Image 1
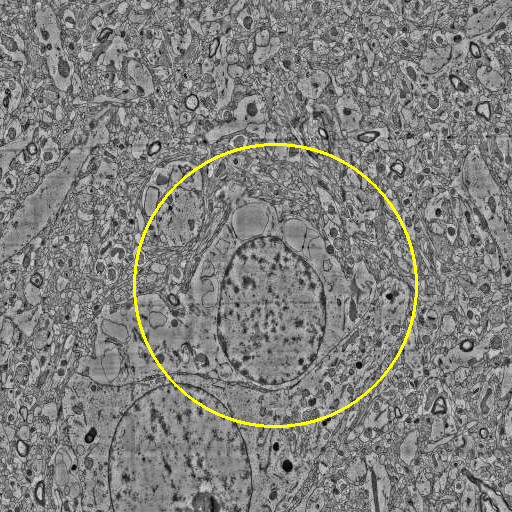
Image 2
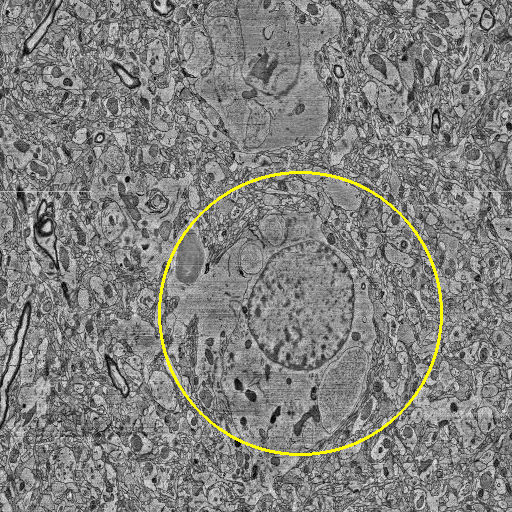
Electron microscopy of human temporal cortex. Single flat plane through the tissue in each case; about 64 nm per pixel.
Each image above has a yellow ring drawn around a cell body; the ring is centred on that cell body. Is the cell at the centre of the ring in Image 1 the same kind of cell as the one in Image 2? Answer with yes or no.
yes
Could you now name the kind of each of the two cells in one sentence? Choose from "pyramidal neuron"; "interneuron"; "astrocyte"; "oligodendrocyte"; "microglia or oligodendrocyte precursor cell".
Each of the two cells is an astrocyte.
